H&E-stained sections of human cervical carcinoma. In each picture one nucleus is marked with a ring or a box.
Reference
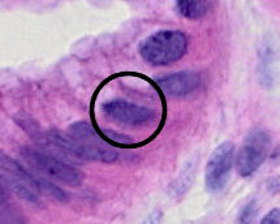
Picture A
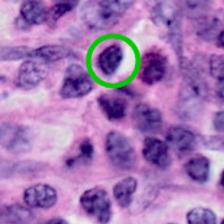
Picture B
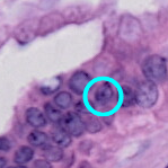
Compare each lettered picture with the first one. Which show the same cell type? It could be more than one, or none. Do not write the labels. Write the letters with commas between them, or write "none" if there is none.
B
